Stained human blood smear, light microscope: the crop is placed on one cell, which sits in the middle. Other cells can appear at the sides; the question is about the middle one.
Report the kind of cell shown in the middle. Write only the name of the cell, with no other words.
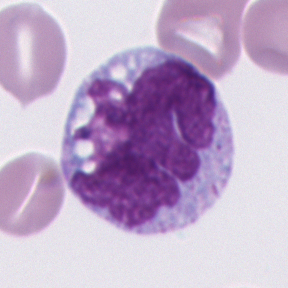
monocyte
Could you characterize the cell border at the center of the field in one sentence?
Its periphery is smooth, and no projections arise from it.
